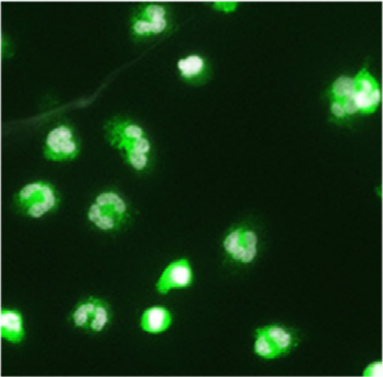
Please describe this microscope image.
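Round neutrophils are spread across the field, their white nuclei divided into lobes. Green staining fills the cell bodies around the lobes and reaches the cell margins, with a finely granular look. The green thus marks the cytoplasm around the lobulated nuclei.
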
